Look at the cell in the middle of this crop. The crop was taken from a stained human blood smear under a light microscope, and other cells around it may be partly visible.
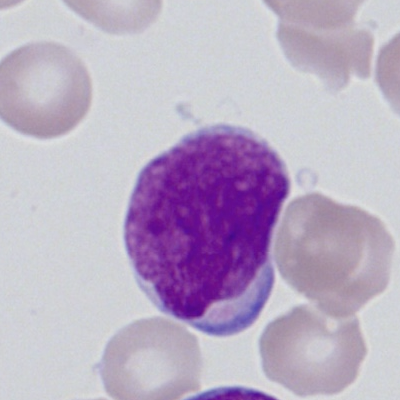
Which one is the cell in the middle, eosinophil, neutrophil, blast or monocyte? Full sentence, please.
Occupying the centre of the crop is a blast.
